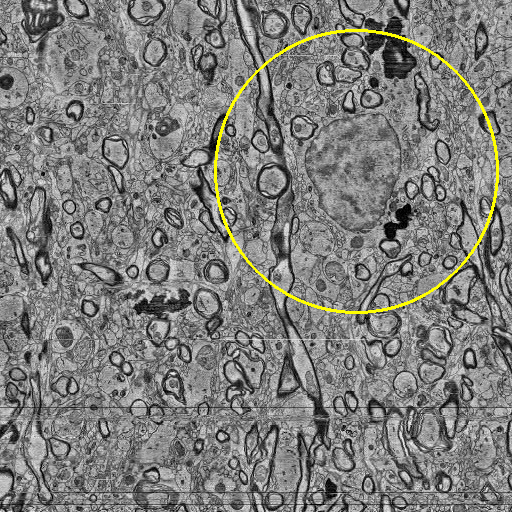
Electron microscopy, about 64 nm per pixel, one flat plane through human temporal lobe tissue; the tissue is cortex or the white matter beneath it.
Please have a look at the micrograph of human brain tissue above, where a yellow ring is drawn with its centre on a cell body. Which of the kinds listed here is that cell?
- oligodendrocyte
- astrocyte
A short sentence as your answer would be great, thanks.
At the centre of the ring sits an oligodendrocyte.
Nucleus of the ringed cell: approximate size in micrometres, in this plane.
Roughly 8 micrometres by 6 micrometres, in this plane.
